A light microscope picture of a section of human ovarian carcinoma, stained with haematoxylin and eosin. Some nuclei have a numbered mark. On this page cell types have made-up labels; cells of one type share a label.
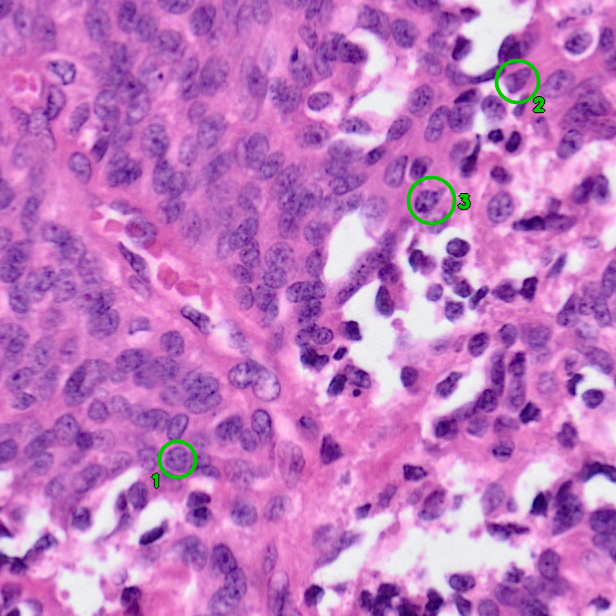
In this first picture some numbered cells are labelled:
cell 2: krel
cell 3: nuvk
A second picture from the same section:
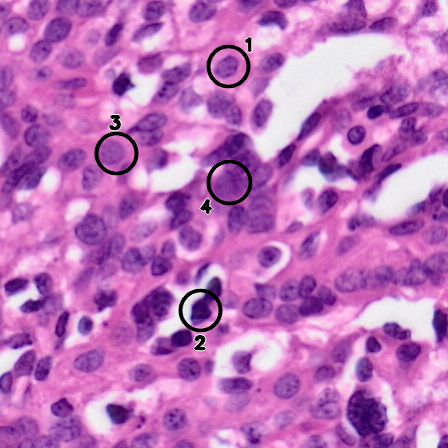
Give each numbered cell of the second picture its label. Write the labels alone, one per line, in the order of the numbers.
nuvk
krel
krel
krel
